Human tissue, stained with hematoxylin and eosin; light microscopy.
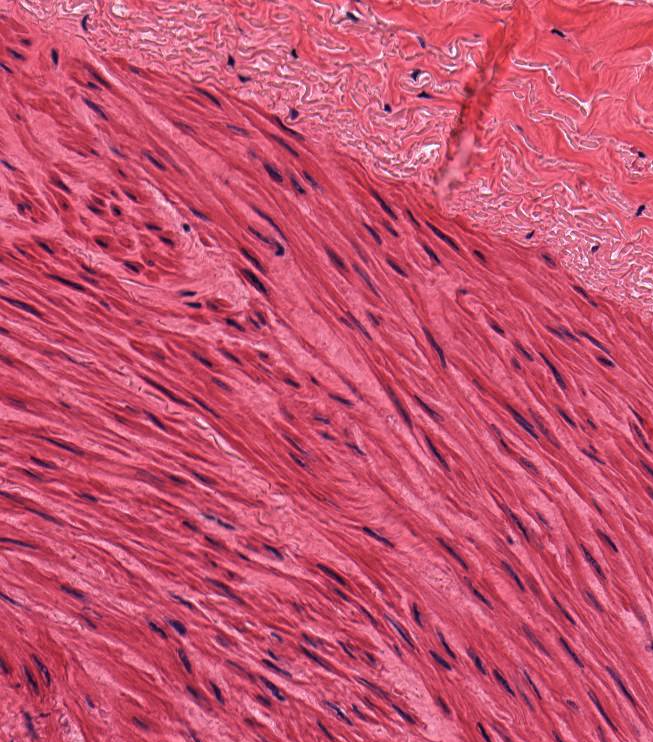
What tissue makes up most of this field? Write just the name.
tunica media of an artery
